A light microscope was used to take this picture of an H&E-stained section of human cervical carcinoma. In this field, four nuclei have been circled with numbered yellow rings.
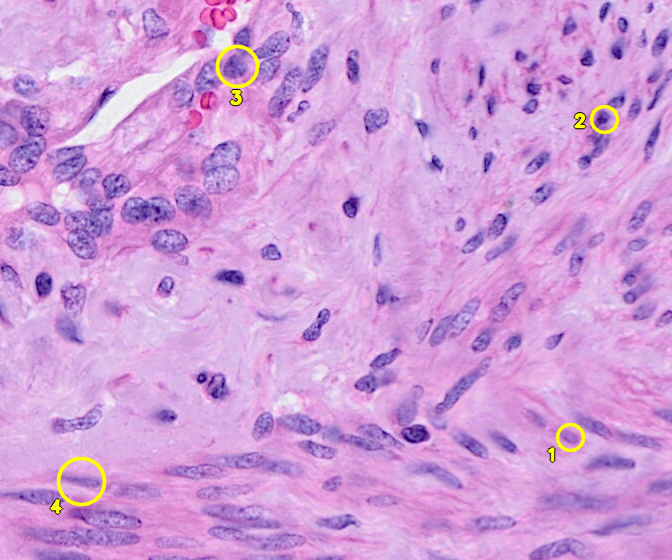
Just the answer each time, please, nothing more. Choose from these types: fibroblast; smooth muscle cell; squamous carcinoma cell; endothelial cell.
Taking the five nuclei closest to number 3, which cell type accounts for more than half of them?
endothelial cell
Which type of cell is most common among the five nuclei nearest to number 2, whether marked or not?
smooth muscle cell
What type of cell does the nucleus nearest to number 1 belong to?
smooth muscle cell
